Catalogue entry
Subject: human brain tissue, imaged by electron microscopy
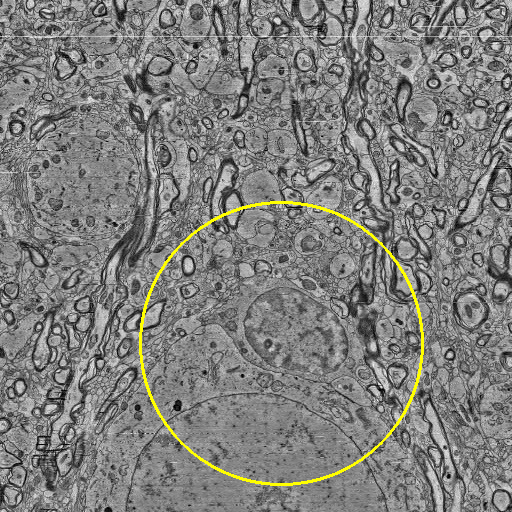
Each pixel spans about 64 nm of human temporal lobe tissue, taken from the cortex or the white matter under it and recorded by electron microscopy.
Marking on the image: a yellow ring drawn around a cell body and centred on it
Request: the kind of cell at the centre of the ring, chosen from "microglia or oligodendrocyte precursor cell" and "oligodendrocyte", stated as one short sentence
The ring has an oligodendrocyte at its centre.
